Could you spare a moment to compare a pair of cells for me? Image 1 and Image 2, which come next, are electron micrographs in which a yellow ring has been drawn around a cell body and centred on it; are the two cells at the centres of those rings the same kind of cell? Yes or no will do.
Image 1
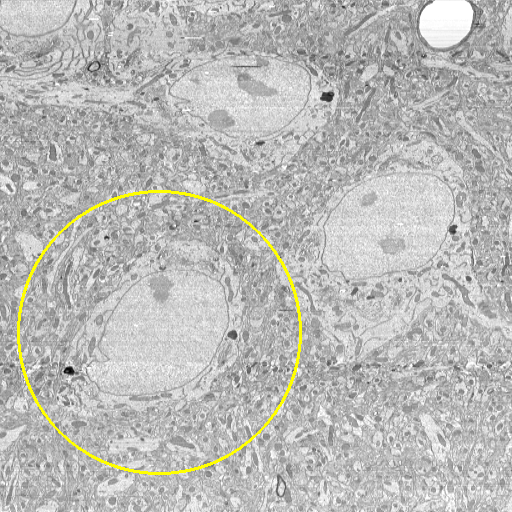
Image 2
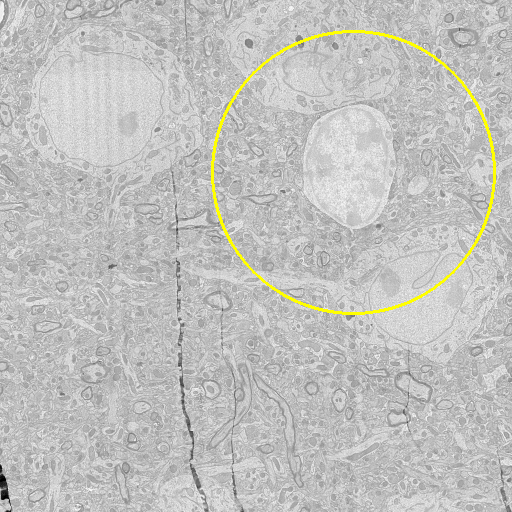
no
